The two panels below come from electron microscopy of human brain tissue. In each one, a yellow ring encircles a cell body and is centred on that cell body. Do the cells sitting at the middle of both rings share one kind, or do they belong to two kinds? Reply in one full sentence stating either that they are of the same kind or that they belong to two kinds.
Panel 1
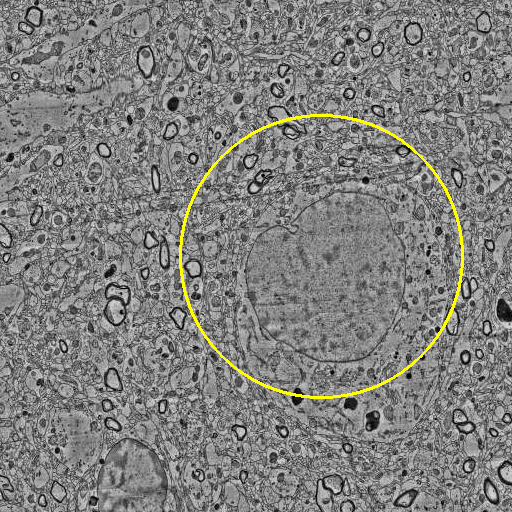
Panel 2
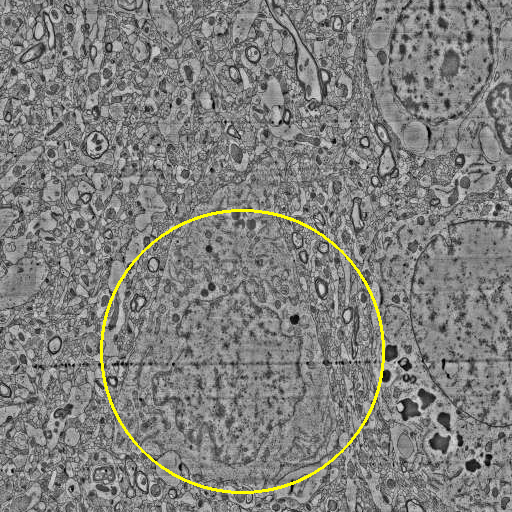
The cells at the centres of the two rings belong to two kinds.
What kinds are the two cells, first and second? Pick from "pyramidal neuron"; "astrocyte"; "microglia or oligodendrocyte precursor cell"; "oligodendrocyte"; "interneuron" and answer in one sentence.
The second picture holds an interneuron in its ring, and the first holds a pyramidal neuron.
